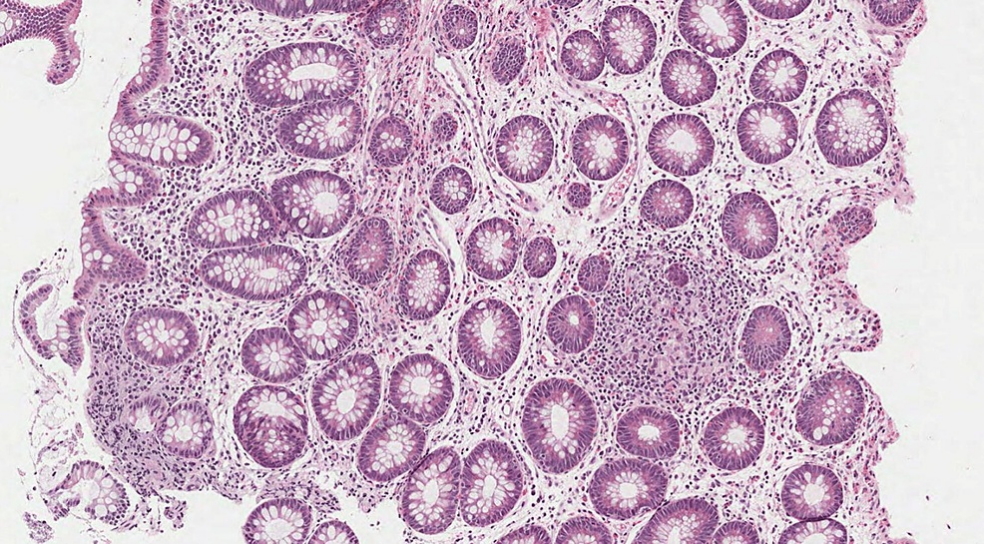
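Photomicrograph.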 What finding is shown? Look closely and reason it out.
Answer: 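Right of centre in the lower half lies a rounded pale aggregate of cells between the crypts. The cells of the aggregate have pink cytoplasm and oval pale nuclei, unlike the surrounding small dark cells. On this evidence: epithelioid granuloma.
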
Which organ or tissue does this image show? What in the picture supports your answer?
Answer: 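Many crypts are cut in cross-section and lined by columnar epithelium. The crypts are full of goblet cells with clear mucin vacuoles. A surface epithelium lines the left edge.
Answer: colic mucosa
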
